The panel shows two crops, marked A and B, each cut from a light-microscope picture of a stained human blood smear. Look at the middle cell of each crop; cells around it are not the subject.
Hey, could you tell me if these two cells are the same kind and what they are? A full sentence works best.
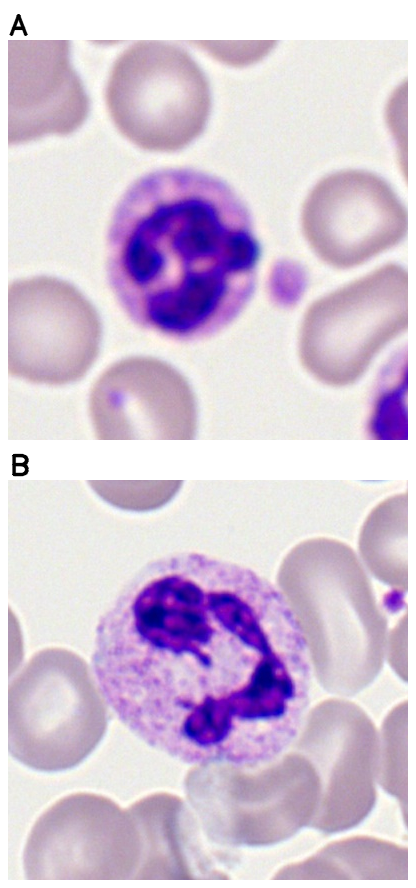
Yes, segmented neutrophils are the central cells in the two crops.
